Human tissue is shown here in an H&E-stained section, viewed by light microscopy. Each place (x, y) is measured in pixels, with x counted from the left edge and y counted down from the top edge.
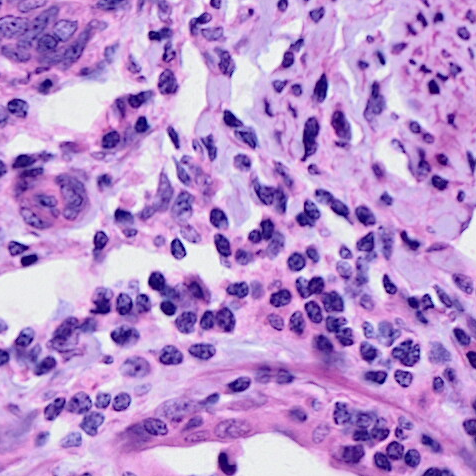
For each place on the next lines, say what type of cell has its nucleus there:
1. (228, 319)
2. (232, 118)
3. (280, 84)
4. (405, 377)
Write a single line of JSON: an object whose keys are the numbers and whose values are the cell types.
{"1": "lymphocyte", "2": "lymphocyte", "3": "fibroblast", "4": "lymphocyte"}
